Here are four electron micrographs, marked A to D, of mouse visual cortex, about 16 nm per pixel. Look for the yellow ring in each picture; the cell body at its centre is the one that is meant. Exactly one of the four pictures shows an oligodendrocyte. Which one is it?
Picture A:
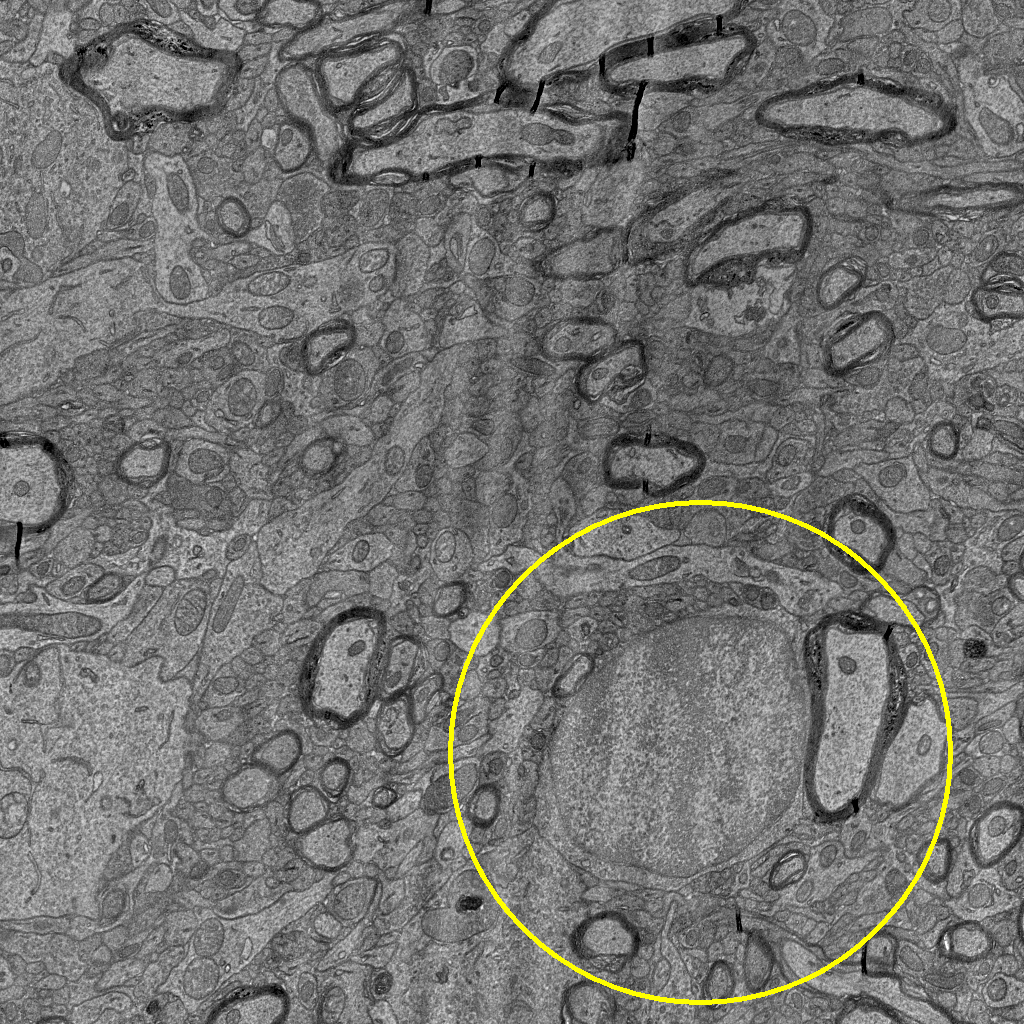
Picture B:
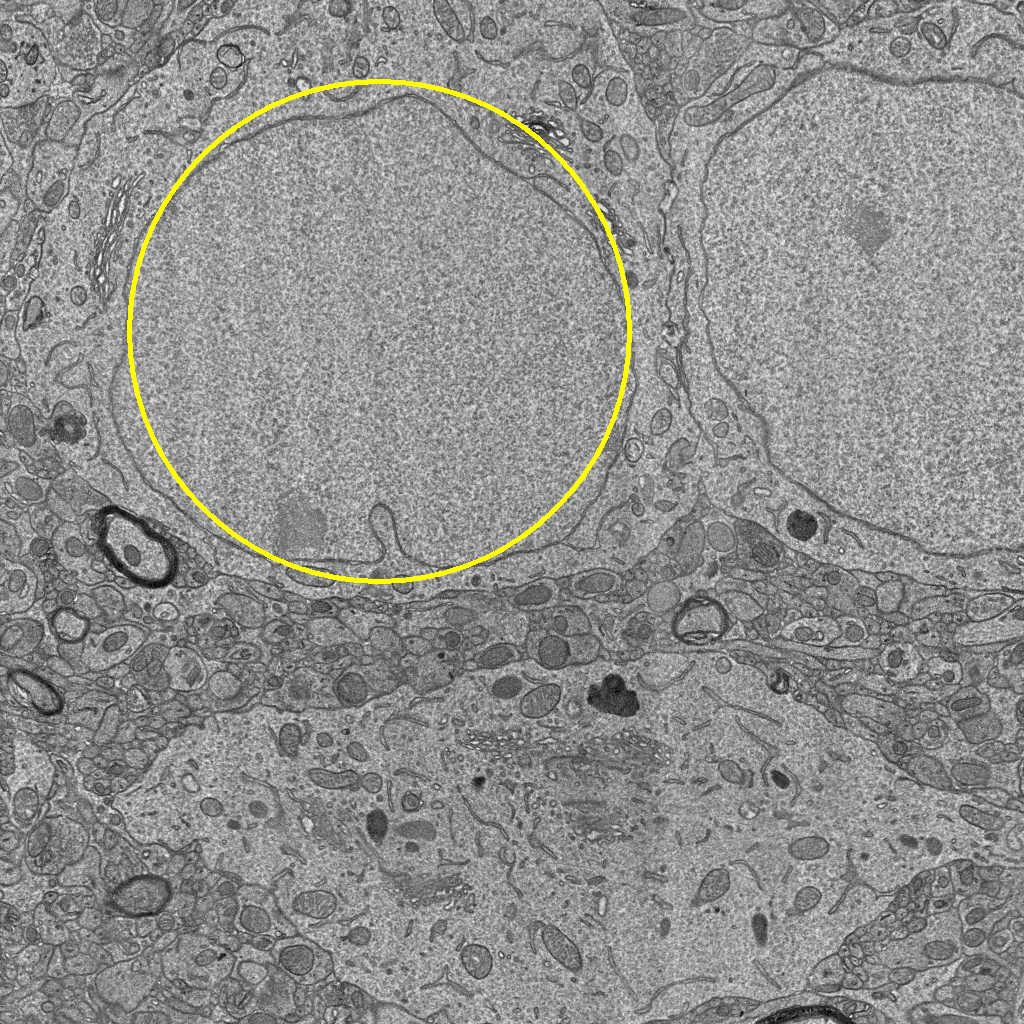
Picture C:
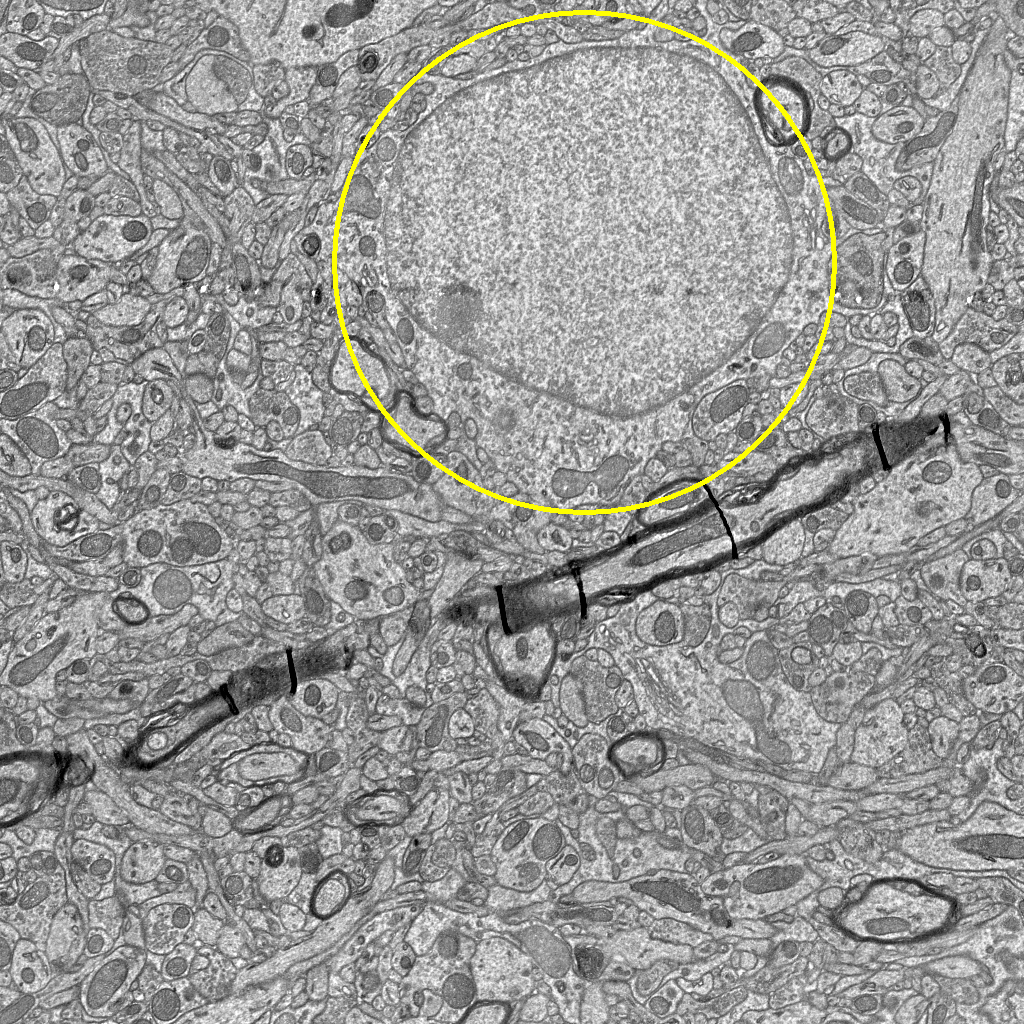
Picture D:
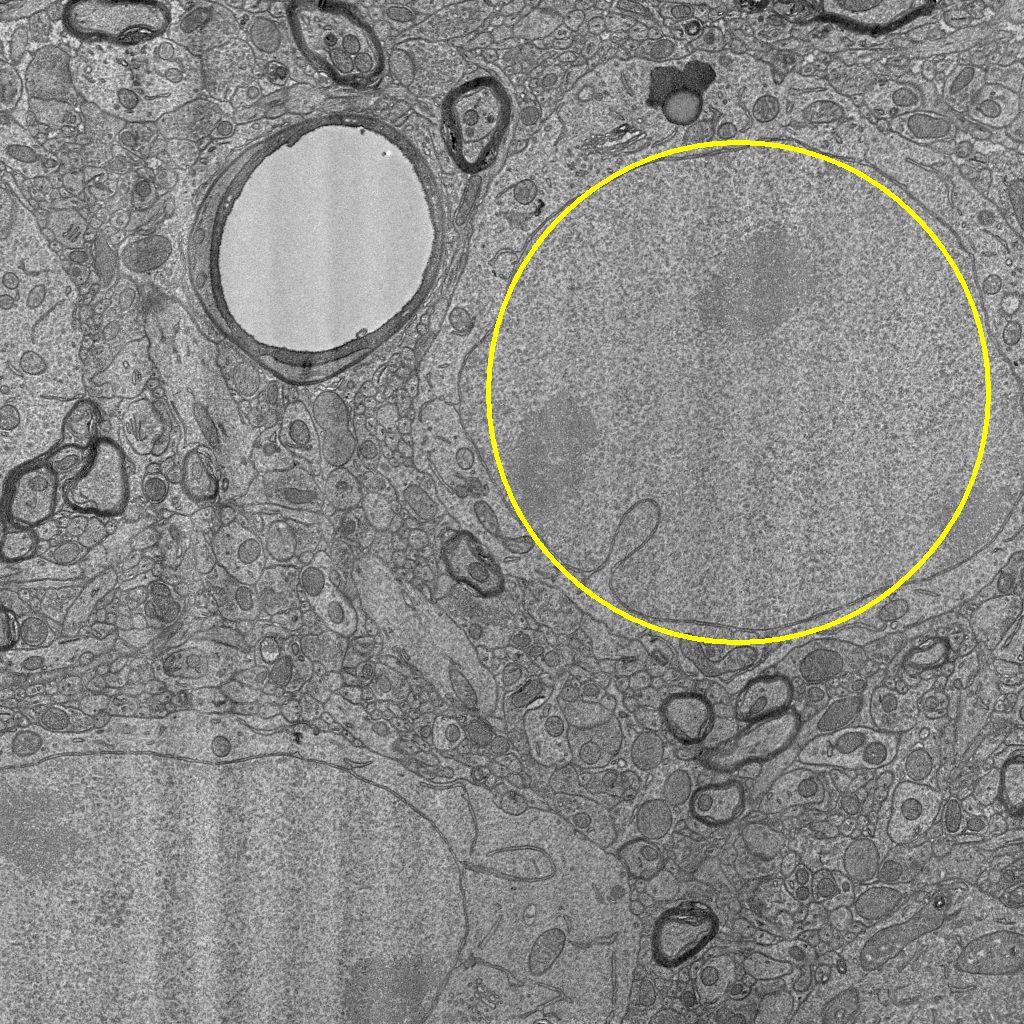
Picture A shows the oligodendrocyte.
